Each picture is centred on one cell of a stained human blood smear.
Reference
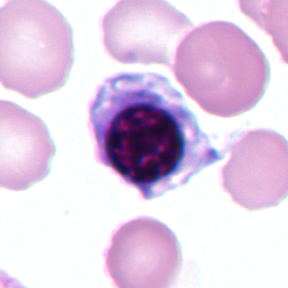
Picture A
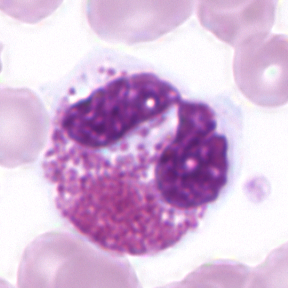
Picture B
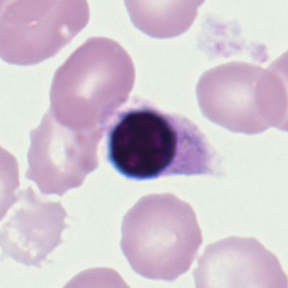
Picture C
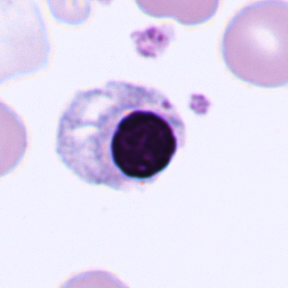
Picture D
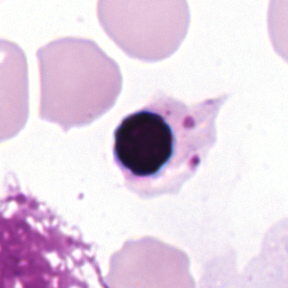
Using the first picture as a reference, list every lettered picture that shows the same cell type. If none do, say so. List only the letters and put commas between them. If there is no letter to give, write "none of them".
B, C, D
